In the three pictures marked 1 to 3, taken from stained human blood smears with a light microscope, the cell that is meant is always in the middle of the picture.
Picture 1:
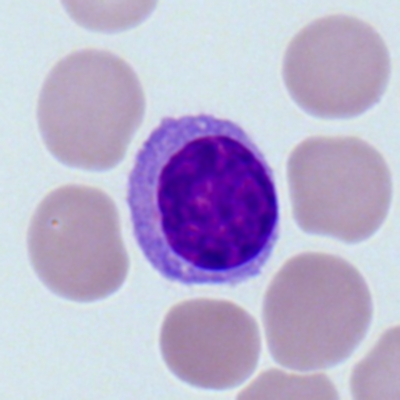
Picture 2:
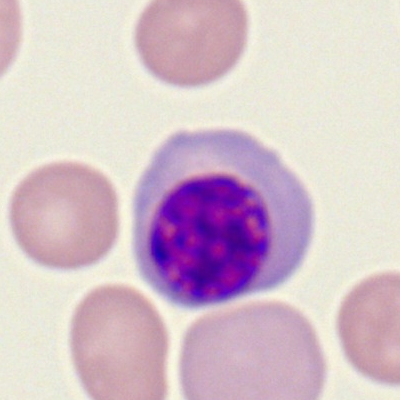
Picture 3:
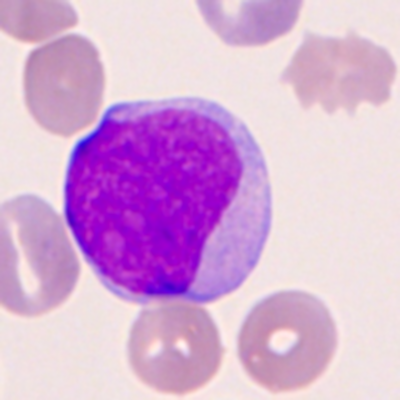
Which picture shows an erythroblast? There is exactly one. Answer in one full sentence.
Picture 2 is the one that shows the erythroblast.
